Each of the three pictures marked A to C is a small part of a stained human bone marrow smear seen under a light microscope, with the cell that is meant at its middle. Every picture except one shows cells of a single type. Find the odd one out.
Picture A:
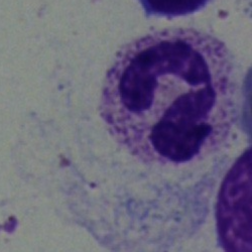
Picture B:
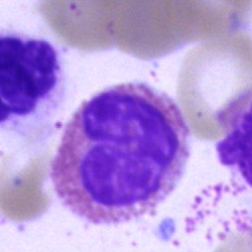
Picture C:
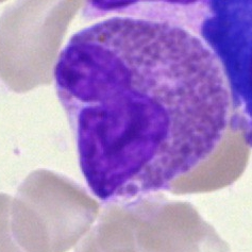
A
